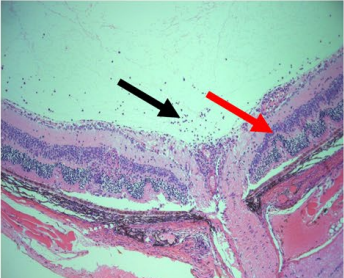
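Section of retina at the optic nerve head, with the nerve running down through the pigmented choroid and sclera. The retinal layers stain purple, with dense nuclear layers separated by pale pink plexiform layers, and a black pigmented layer beneath. Many small dark round cells lie scattered in the clear space above the retina, concentrated around the optic disc. Next to the disc the retina is bent and its nuclear layers are wavy and disordered instead of lying flat. Below the sclera, pink bands of muscle and red blood-filled tissue are seen.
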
